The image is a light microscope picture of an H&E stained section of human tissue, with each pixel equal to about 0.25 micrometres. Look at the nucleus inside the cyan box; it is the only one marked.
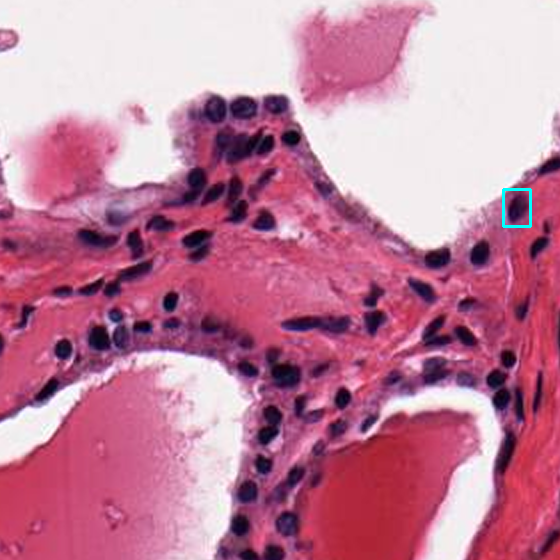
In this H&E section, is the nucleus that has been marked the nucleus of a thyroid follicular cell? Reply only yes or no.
yes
